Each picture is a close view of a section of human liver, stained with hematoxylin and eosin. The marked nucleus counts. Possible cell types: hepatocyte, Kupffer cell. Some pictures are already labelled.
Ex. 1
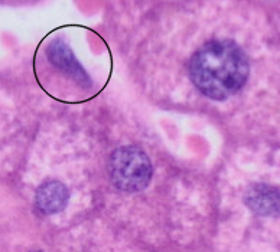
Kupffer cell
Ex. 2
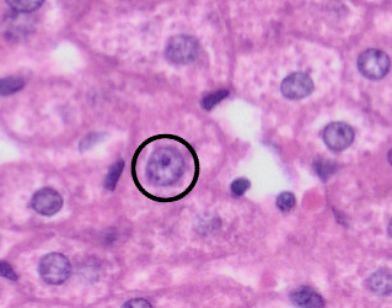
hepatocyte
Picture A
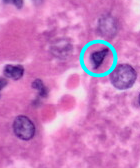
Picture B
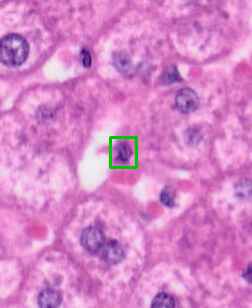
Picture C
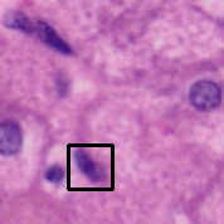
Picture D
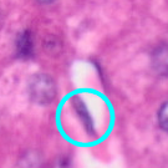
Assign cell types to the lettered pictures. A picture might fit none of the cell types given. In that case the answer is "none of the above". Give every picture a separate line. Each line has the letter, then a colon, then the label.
A: none of the above
B: Kupffer cell
C: none of the above
D: Kupffer cell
